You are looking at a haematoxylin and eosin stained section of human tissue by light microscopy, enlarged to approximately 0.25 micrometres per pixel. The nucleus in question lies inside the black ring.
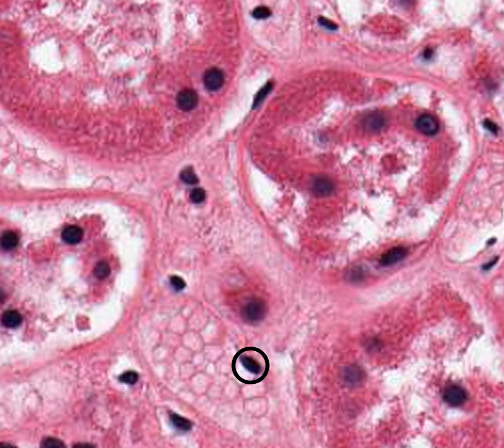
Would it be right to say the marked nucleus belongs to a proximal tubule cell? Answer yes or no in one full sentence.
No, the marked nucleus does not come from a proximal tubule cell but from a supporting cell.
